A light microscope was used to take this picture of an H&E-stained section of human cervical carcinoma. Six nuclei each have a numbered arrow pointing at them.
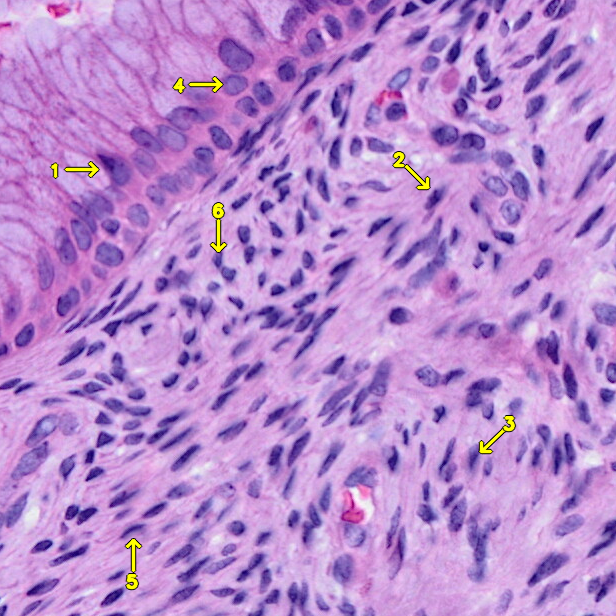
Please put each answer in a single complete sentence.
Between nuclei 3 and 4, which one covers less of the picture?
It is nucleus 3; nucleus 4 has about 1.5 times its area.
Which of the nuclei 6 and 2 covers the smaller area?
Nucleus 6 covers less area, with nucleus 2 about 2 times as large.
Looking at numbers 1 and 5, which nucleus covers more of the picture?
Nucleus 1 is the larger one, covering about 3 times the area of nucleus 5.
